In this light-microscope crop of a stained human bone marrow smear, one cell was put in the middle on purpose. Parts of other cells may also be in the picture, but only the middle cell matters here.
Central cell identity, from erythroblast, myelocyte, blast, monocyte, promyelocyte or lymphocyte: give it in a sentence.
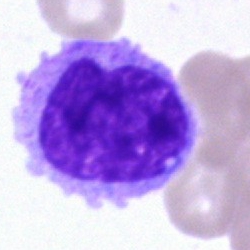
The cell of interest, located centrally, is a monocyte.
